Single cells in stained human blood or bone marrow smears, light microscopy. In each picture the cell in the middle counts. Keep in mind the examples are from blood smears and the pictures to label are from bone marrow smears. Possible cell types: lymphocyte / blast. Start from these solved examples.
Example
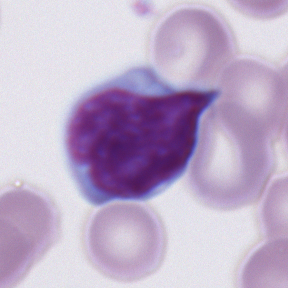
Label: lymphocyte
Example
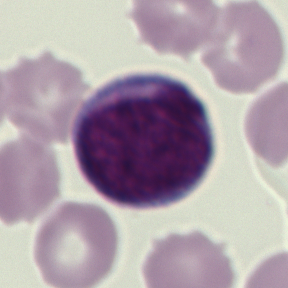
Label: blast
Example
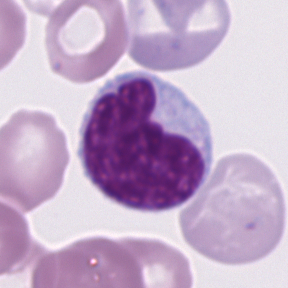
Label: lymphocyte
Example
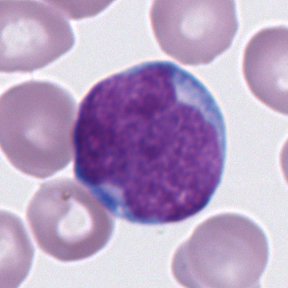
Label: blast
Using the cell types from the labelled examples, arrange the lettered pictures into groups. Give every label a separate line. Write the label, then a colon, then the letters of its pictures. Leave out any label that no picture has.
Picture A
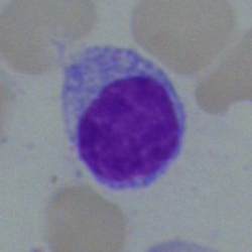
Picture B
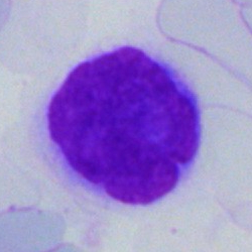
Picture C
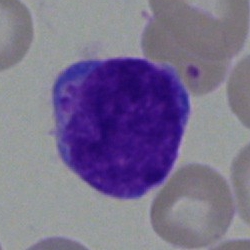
lymphocyte: A
blast: B, C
